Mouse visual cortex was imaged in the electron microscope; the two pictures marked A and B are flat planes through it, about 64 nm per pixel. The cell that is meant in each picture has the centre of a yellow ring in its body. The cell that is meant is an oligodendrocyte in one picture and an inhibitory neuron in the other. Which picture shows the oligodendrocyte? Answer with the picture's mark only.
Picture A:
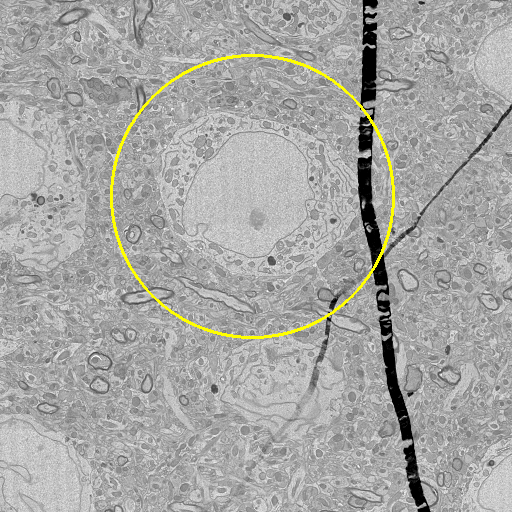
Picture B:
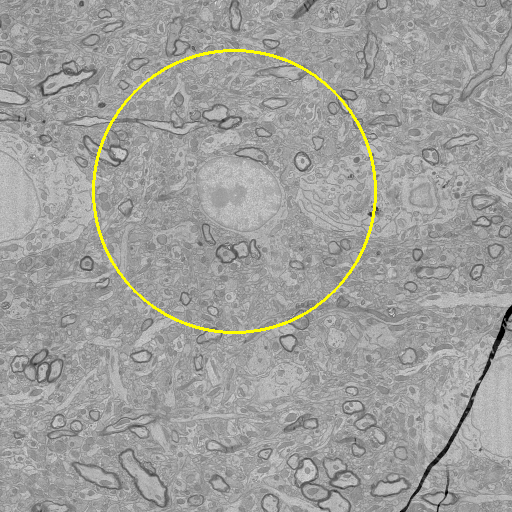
B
